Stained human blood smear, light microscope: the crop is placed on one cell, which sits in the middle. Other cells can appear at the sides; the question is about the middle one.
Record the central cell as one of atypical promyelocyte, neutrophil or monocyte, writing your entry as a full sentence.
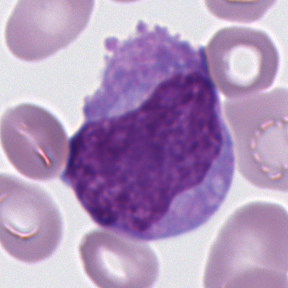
The cell centred in this crop is categorized as an atypical promyelocyte.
